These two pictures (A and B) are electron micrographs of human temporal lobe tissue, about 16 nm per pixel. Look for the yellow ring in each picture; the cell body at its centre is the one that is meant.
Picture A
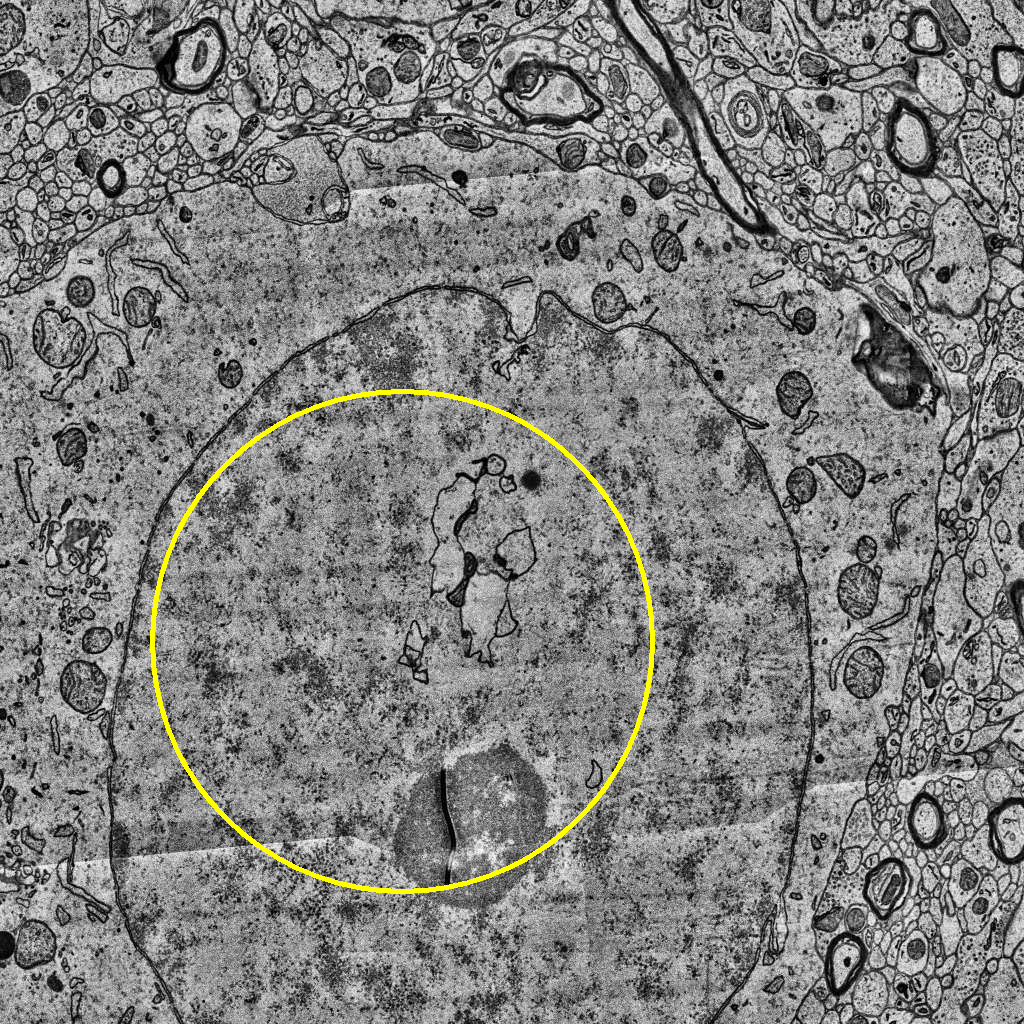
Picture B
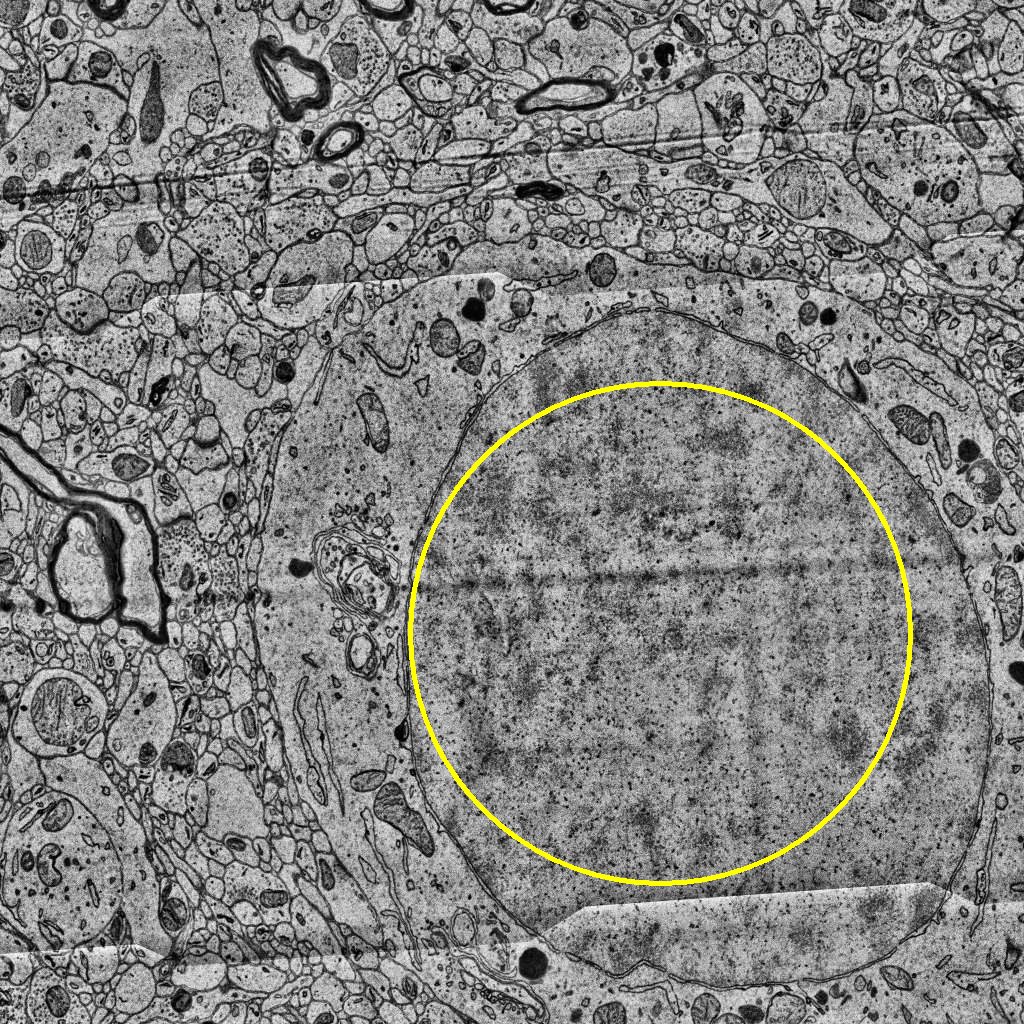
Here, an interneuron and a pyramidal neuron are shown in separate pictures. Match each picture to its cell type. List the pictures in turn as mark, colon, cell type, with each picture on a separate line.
A: pyramidal neuron
B: interneuron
